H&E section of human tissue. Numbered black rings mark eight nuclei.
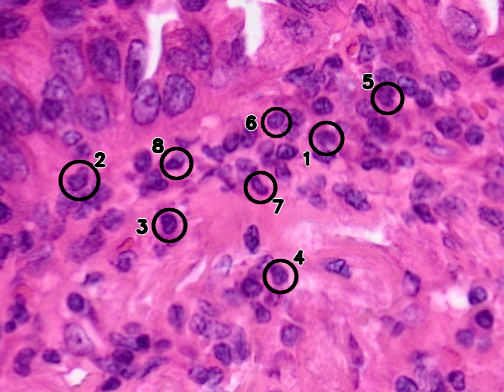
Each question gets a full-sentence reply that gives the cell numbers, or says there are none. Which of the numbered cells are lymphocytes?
The cells numbered 2, 4, 6, 7 and 8 are, by type, lymphocytes.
